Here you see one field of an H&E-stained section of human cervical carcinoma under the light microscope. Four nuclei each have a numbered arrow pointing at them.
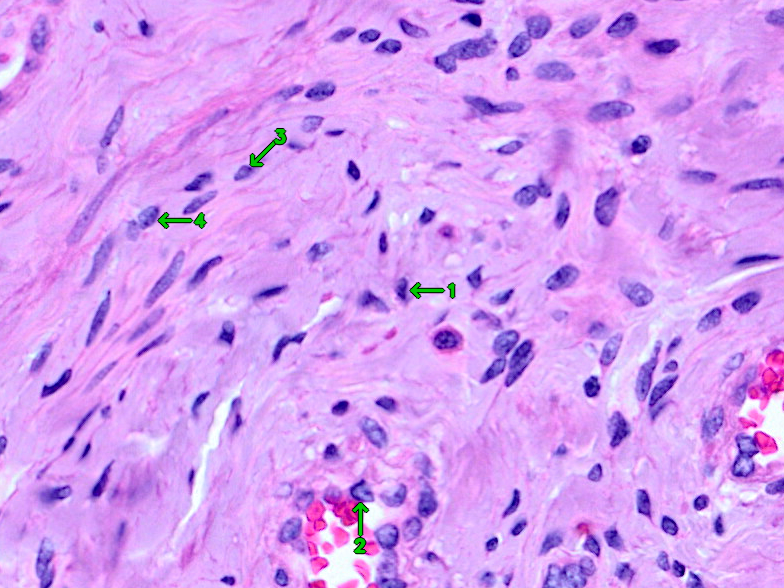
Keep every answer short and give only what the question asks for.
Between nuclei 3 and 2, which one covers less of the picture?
3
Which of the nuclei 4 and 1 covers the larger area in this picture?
4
